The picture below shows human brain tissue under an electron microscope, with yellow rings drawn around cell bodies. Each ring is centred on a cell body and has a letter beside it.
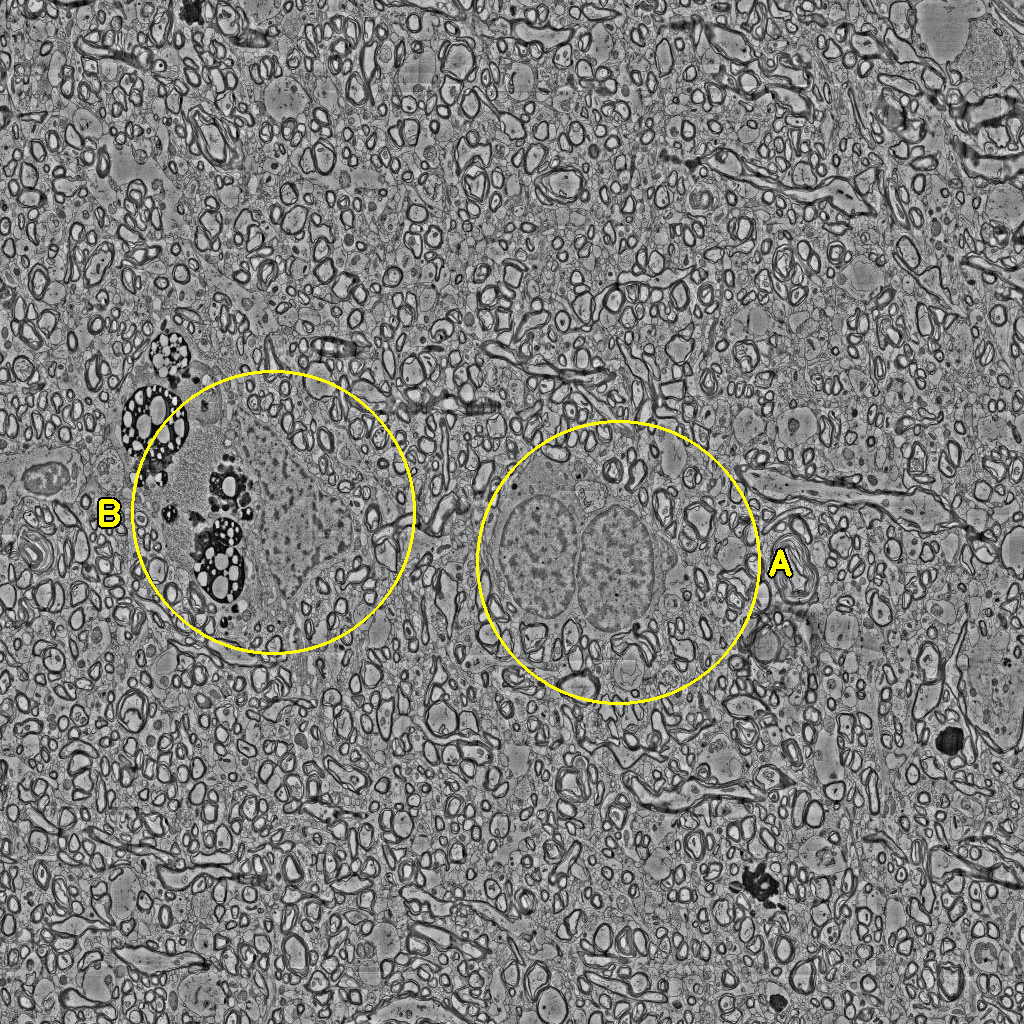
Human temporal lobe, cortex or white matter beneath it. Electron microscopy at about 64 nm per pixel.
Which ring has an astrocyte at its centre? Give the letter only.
B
